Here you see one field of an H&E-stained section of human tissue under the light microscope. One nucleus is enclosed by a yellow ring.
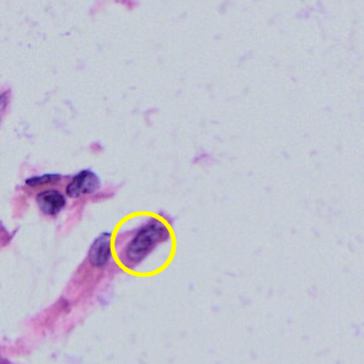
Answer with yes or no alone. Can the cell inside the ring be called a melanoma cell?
yes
